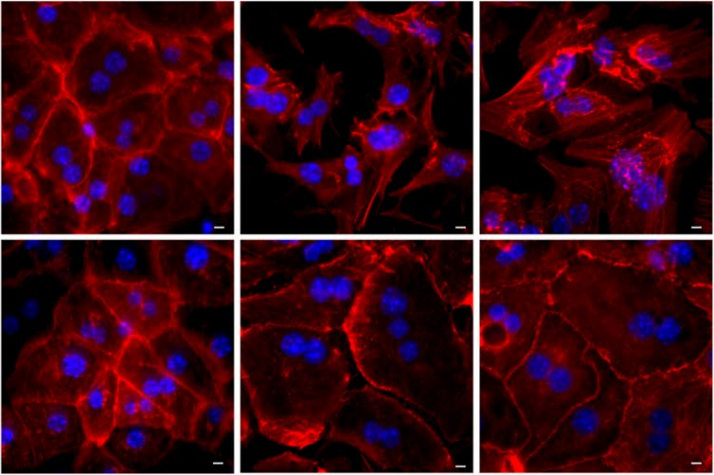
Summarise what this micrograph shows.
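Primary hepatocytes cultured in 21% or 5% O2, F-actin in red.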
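In most fields large polygonal cells lie closely side by side, and the red stain is concentrated in a fine band beneath each cell border, outlining the cells like a mosaic, while the cytoplasm is only faintly red. Each cell holds one or two round blue nuclei; pairs of nuclei are frequent. In other fields the cells are no longer regular polygons: they are irregular, spread or elongated, with coarse red fibres running across the cytoplasm, and the cell-to-cell borders are lost.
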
